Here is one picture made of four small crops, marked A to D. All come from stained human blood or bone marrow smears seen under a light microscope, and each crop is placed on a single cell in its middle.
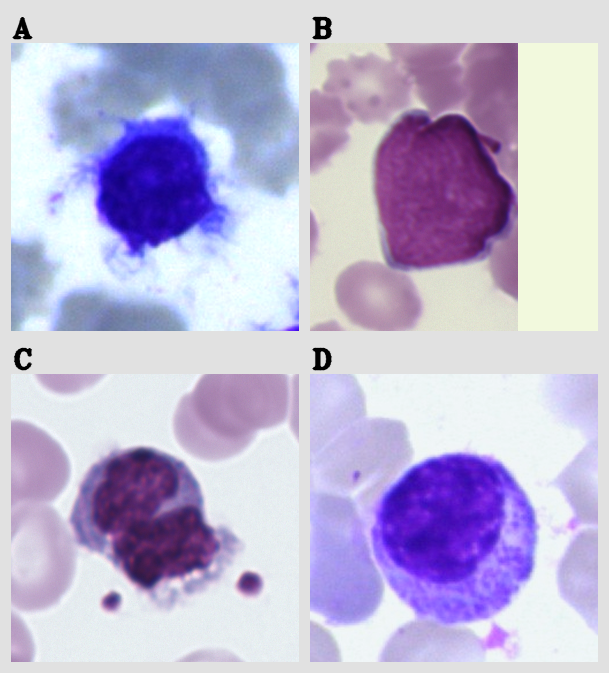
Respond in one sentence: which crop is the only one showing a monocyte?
The crop bearing a monocyte is crop C.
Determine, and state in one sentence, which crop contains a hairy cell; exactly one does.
The crop with a hairy cell at its center is crop A.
